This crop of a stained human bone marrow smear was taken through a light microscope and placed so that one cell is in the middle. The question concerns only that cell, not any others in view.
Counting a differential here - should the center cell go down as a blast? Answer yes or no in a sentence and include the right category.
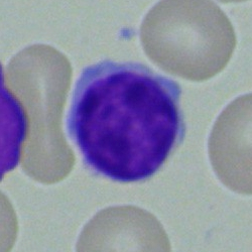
No, the central cell is not a blast, being instead a lymphocyte.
